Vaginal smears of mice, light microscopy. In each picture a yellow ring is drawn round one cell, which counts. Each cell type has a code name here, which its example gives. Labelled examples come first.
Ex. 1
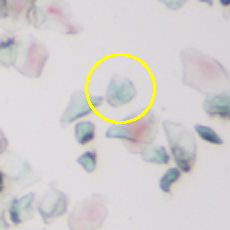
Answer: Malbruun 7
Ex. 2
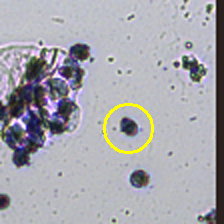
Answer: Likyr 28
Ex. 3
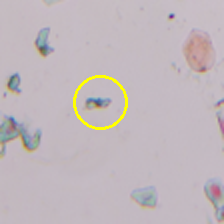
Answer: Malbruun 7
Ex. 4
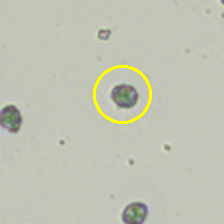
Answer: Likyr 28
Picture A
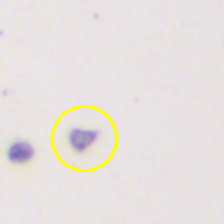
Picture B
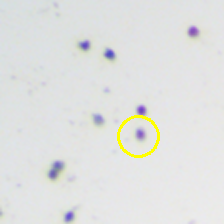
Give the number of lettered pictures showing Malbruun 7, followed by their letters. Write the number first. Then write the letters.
0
